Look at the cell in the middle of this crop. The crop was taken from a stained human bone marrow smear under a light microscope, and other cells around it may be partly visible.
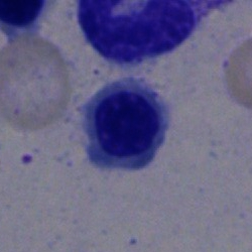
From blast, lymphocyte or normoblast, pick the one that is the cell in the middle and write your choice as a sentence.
The middle of this crop is occupied by a normoblast.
